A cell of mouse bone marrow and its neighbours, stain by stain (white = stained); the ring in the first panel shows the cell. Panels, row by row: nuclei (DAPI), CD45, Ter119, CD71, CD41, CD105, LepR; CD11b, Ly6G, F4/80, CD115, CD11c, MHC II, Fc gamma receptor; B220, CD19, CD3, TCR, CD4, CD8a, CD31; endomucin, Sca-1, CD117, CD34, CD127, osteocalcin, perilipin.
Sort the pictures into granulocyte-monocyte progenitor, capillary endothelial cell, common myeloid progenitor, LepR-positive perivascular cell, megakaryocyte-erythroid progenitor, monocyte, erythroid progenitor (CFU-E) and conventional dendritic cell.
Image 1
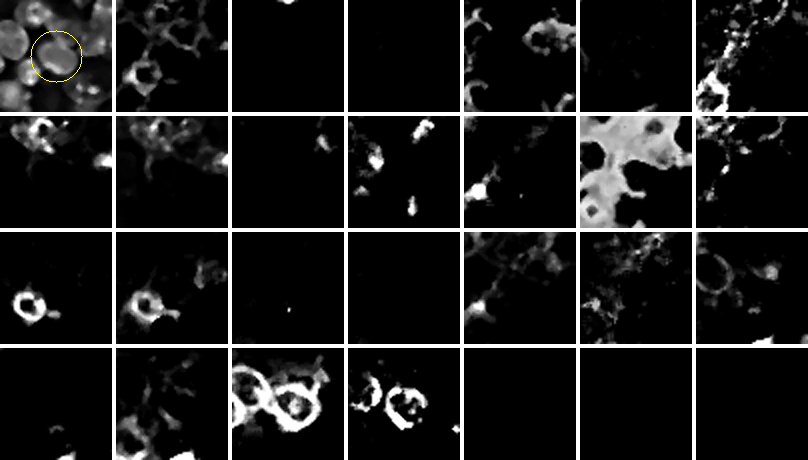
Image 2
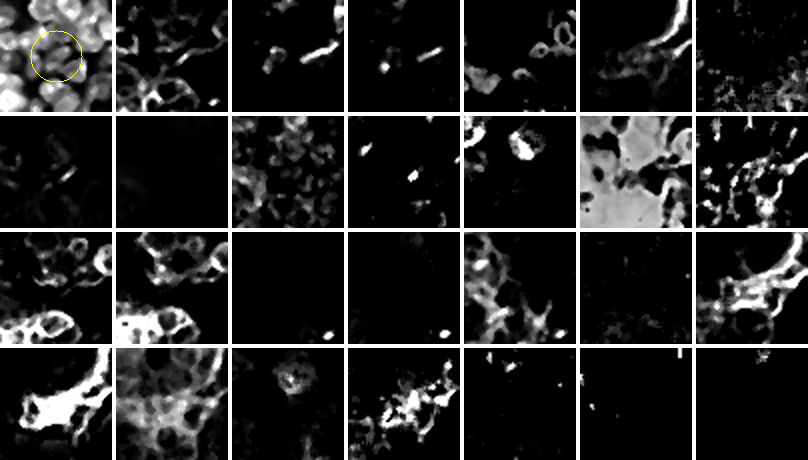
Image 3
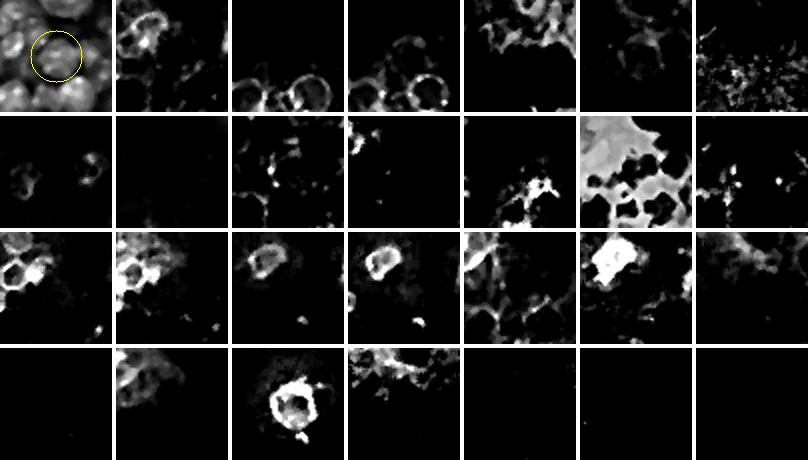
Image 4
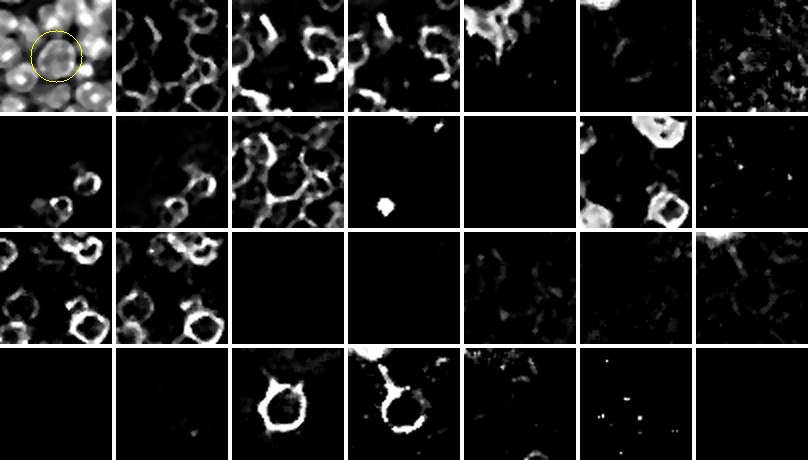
Common myeloid progenitors: 1, 4
Capillary endothelial cells: 2
Megakaryocyte-erythroid progenitors: 3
